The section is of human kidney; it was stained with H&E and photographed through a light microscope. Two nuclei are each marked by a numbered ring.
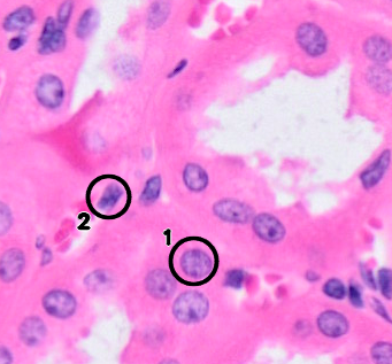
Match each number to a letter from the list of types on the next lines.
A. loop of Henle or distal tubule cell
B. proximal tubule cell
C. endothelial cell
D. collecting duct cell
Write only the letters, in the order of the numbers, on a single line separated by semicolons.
B; C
